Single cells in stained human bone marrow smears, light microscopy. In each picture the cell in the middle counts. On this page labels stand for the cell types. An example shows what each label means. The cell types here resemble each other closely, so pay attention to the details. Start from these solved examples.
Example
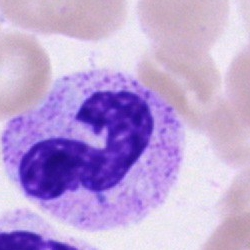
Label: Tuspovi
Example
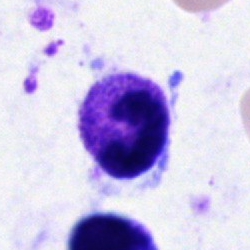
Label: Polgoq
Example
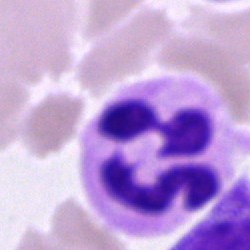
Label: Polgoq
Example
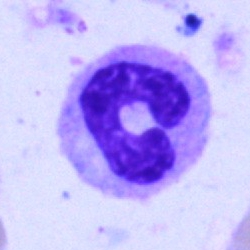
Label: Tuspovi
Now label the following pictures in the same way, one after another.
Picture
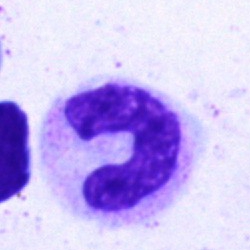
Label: Tuspovi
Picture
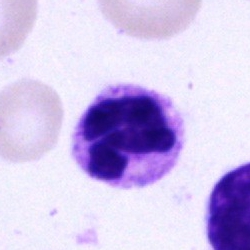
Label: Polgoq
